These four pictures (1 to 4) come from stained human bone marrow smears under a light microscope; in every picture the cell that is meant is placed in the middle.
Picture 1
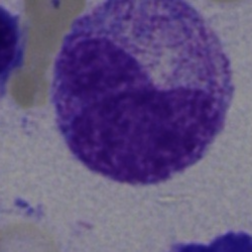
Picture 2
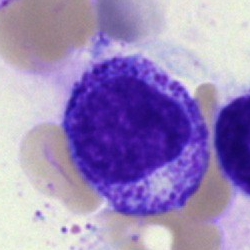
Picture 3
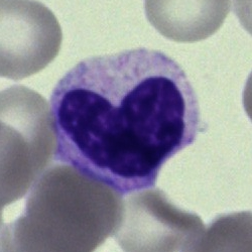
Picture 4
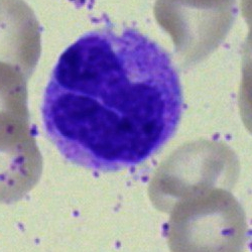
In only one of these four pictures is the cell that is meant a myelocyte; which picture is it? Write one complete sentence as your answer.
The myelocyte is the one in picture 2.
